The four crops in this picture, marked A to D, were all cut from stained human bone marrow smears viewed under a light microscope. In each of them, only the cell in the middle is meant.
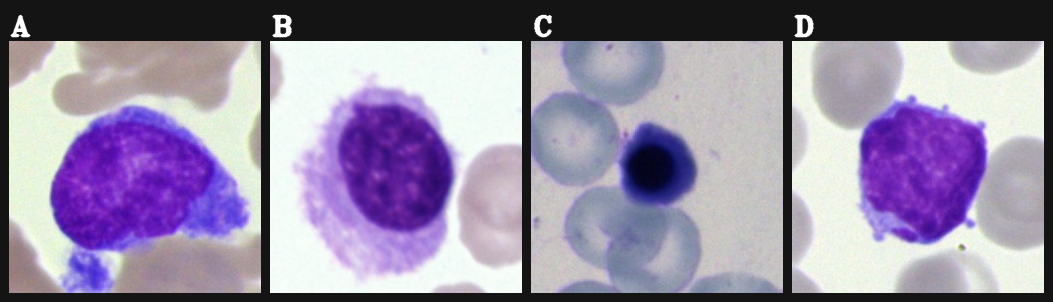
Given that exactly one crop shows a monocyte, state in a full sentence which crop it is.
Look at crop A; that is the one with a monocyte in its center.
